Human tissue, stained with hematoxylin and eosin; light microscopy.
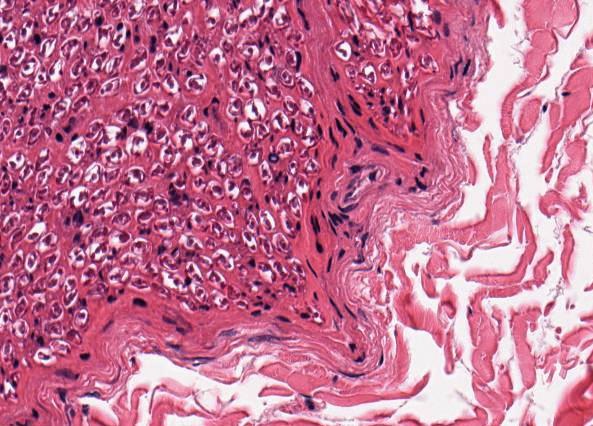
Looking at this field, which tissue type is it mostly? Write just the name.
nerve fascicle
